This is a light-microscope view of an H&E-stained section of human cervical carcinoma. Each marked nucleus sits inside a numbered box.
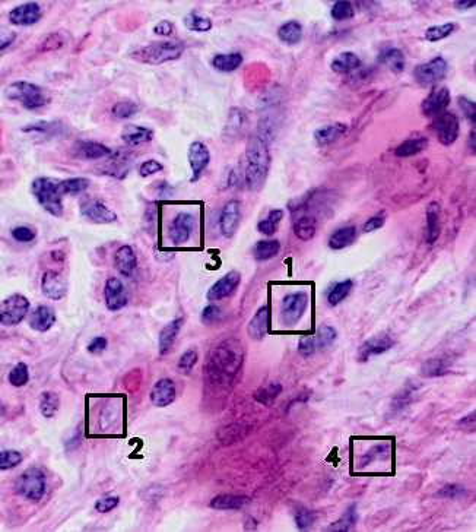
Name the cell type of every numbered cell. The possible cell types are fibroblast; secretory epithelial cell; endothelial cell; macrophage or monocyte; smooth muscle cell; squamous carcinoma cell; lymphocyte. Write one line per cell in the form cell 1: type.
cell 1: lymphocyte
cell 2: endothelial cell
cell 3: lymphocyte
cell 4: fibroblast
